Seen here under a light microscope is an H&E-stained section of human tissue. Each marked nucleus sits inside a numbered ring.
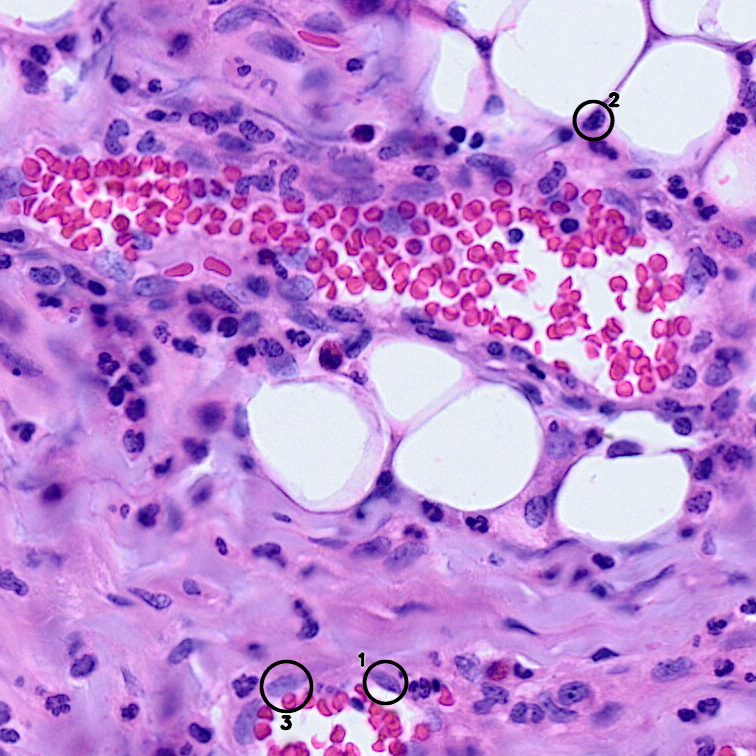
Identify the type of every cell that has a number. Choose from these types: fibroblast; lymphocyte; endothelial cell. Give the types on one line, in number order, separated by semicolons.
endothelial cell; lymphocyte; endothelial cell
